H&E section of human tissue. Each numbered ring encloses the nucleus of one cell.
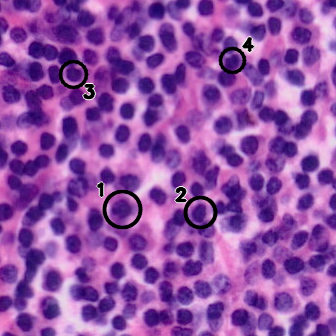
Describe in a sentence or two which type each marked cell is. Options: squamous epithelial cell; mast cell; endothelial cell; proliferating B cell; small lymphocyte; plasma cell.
Cell 1 is a plasma cell, cell 2 is a small lymphocyte, cell 3 is a small lymphocyte and cell 4 is a small lymphocyte.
